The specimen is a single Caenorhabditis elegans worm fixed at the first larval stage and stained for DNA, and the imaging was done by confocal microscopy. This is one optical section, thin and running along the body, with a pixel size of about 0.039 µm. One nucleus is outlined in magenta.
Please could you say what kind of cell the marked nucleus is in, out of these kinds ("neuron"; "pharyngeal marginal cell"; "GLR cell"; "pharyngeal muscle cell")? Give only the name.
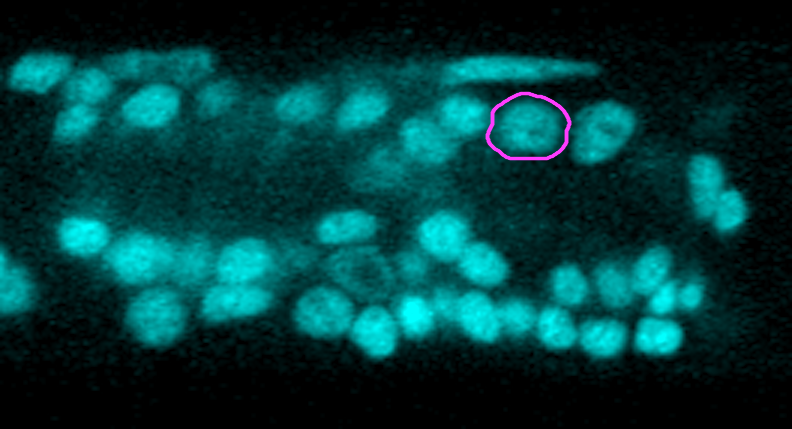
pharyngeal muscle cell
